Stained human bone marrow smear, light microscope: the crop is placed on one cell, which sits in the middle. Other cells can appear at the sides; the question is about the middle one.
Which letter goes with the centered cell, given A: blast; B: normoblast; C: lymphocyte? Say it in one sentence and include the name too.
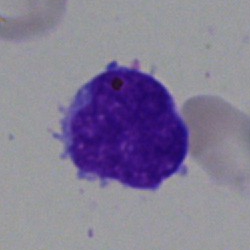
What option A states is correct, the central cell being a blast.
